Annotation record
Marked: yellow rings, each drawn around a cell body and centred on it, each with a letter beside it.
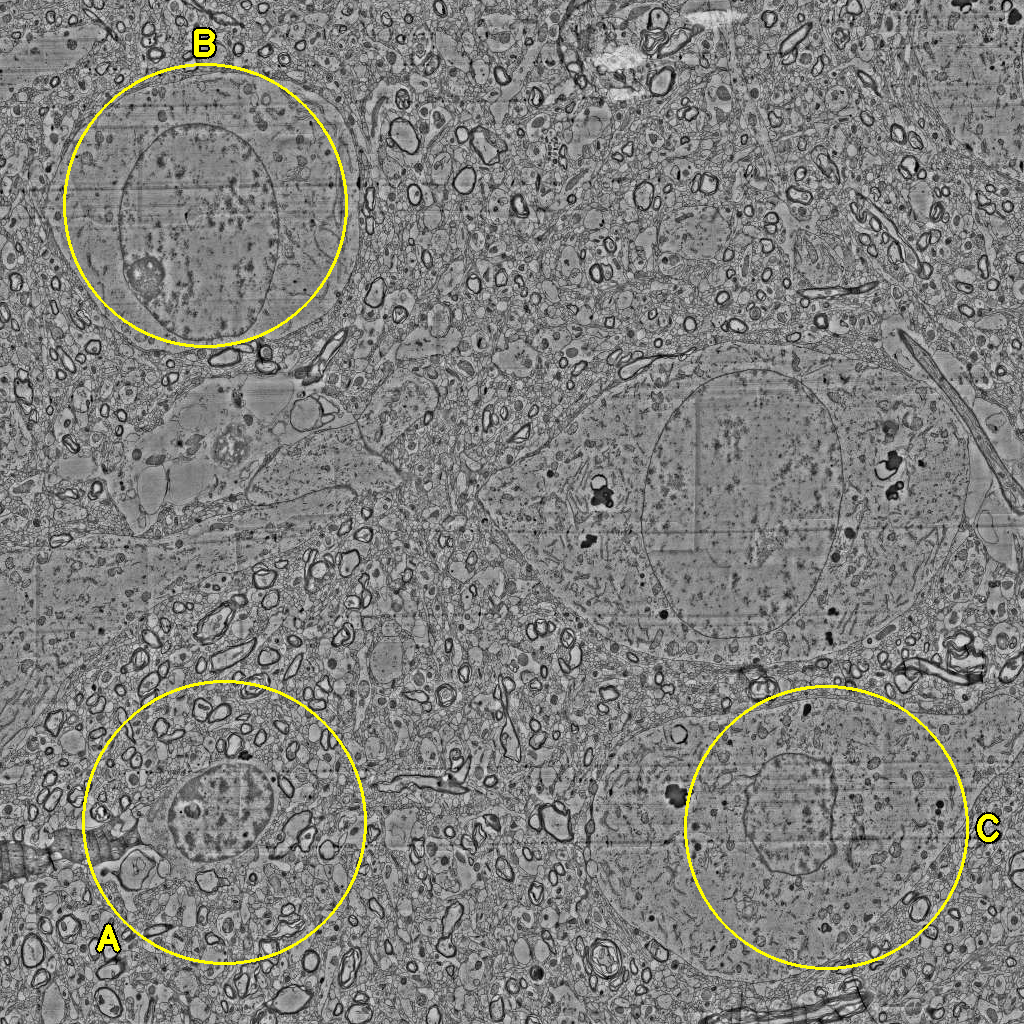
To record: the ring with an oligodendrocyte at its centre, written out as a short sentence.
The ring centred on it is ring A.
